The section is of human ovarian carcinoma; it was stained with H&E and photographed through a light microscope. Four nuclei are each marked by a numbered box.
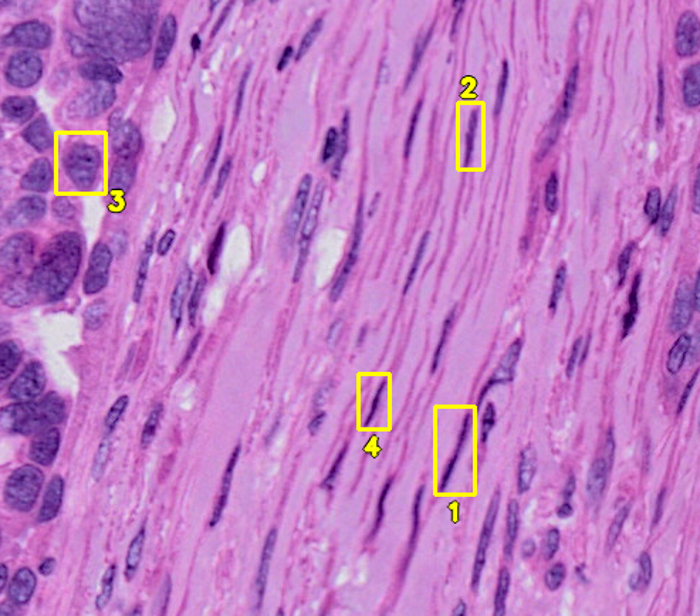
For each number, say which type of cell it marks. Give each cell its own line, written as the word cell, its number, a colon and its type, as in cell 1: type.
cell 1: fibroblast
cell 2: fibroblast
cell 3: carcinoma cell
cell 4: fibroblast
